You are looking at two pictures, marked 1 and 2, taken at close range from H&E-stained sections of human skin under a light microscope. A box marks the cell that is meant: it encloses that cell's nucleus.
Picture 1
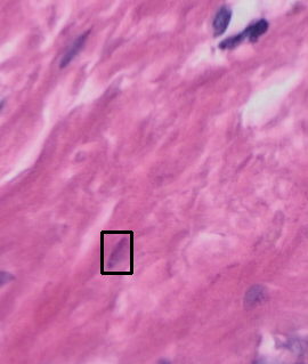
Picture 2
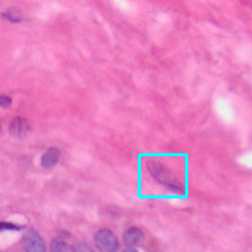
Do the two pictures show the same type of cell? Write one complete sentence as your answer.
Yes, they are the same type: both are fibroblasts.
